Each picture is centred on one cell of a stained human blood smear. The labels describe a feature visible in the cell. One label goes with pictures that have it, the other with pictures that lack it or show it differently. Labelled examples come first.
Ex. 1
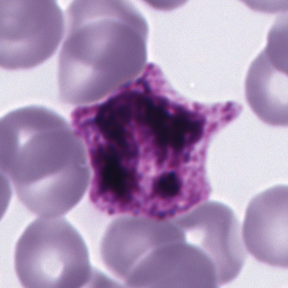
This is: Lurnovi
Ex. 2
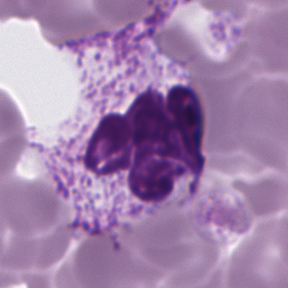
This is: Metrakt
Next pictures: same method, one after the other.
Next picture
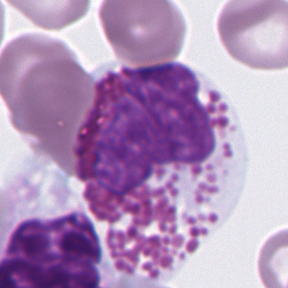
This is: Metrakt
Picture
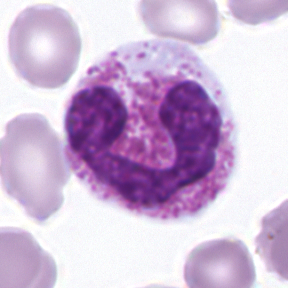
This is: Lurnovi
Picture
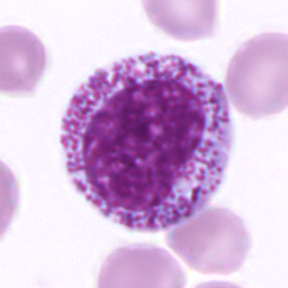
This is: Metrakt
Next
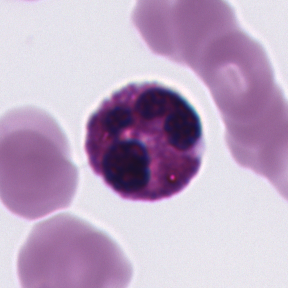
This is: Lurnovi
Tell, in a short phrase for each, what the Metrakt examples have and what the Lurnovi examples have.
Metrakt, coarse or large granules; Lurnovi, fine or small granules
